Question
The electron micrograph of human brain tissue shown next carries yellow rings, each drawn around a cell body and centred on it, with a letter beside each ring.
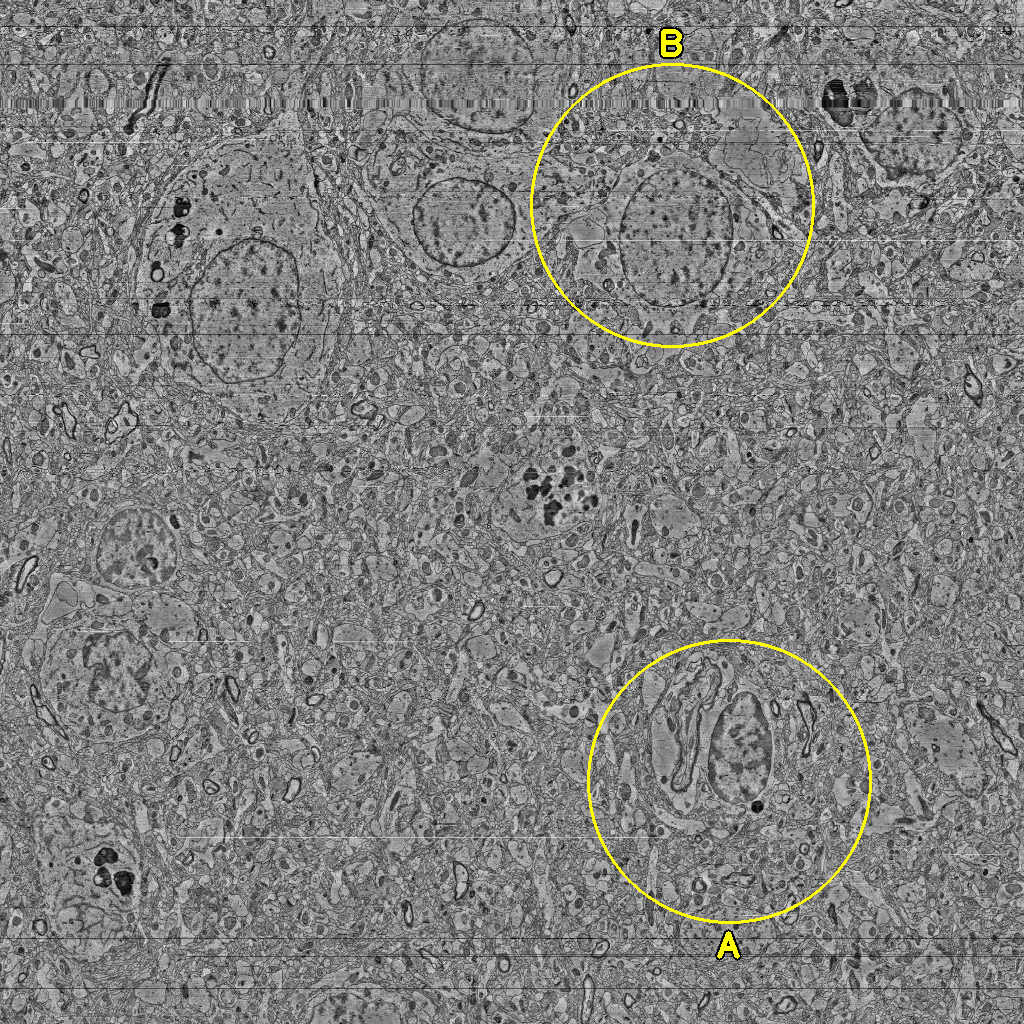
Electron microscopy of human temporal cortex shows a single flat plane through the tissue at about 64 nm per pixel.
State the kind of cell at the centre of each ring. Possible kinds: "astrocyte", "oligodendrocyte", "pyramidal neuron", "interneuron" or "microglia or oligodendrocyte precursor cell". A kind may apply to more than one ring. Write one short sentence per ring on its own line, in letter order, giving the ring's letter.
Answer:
The cell centred in ring A is a microglial cell or oligodendrocyte precursor cell.
The cell centred in ring B is an astrocyte.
